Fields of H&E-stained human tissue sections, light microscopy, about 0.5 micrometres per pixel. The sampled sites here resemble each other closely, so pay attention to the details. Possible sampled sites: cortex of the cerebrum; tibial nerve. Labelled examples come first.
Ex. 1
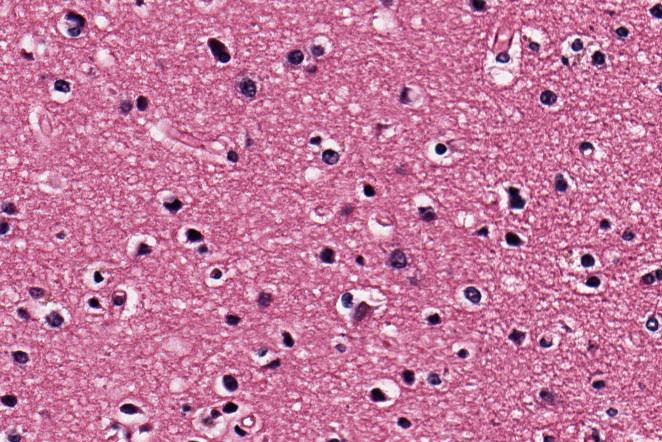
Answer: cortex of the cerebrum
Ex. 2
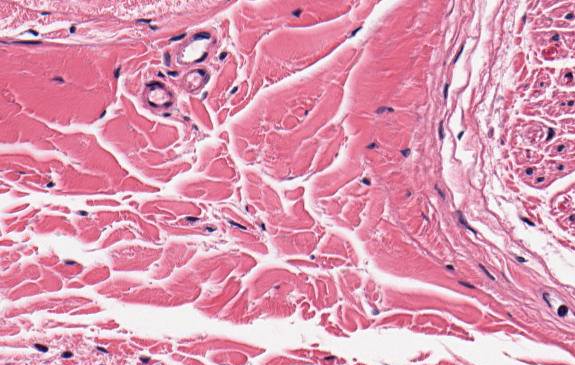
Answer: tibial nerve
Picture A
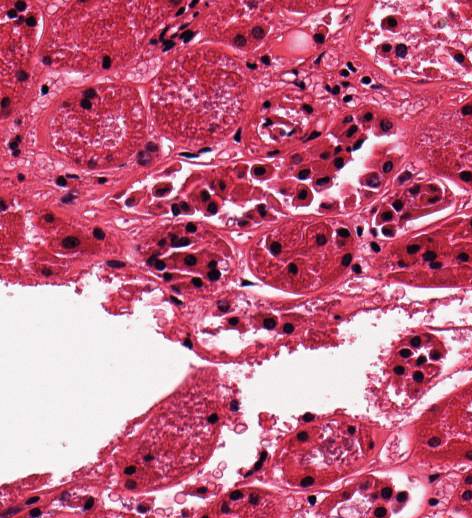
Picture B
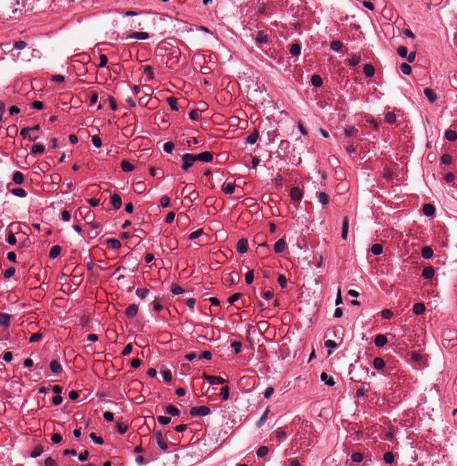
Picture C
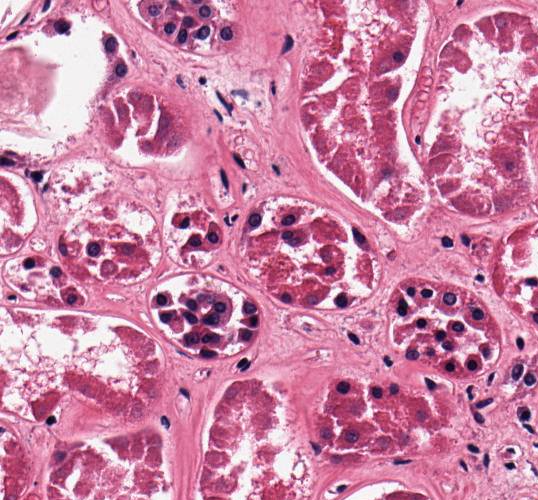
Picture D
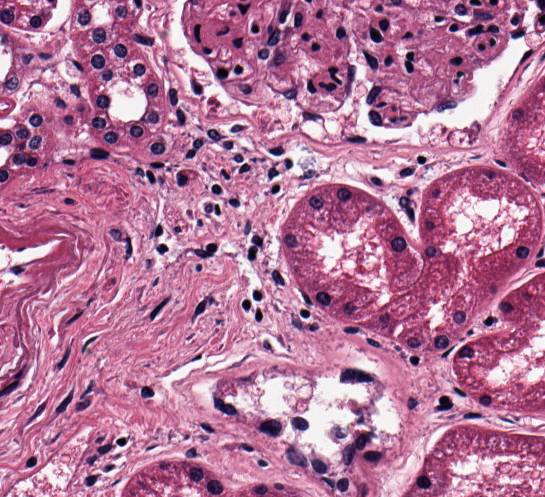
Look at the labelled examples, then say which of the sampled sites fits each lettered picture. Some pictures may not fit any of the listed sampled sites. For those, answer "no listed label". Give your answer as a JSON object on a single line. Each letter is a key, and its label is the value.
{"A": "no listed label", "B": "no listed label", "C": "no listed label", "D": "no listed label"}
